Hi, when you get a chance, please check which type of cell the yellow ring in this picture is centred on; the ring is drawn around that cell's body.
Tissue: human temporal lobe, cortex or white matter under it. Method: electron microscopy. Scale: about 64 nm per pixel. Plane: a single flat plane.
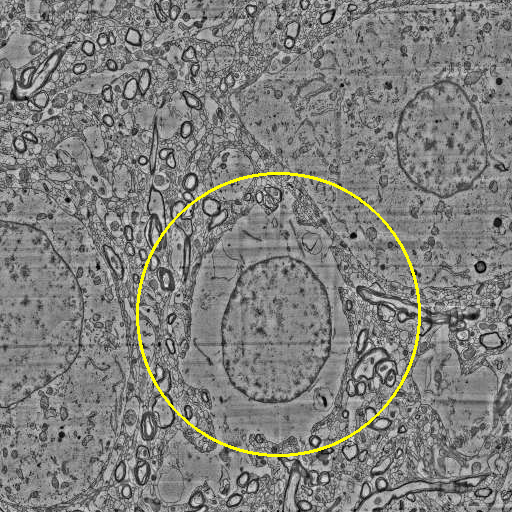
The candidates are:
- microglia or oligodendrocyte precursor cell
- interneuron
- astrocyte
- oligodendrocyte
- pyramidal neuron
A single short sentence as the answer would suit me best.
The ring is drawn around the body of an astrocyte.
